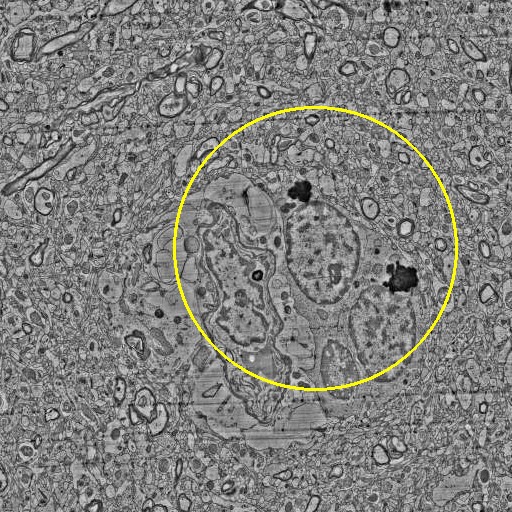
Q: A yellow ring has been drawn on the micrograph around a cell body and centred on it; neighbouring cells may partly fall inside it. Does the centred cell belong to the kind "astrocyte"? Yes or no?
No, it belongs to another kind.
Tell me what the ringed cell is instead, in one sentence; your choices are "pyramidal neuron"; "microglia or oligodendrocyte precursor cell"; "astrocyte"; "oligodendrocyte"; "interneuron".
Instead, the ring surrounds an oligodendrocyte in this picture.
